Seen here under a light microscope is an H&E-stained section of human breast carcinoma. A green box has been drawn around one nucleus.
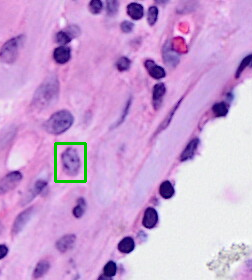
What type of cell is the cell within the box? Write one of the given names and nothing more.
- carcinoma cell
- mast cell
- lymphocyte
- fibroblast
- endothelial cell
mast cell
